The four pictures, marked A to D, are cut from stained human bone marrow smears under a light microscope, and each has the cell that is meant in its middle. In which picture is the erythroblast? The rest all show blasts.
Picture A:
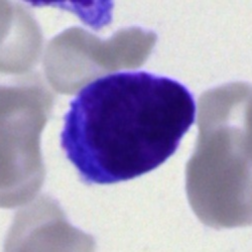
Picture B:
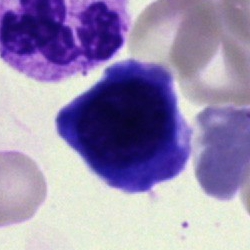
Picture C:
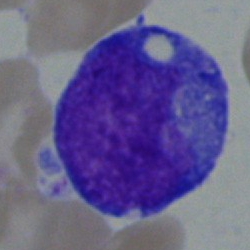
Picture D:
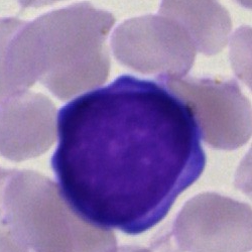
B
